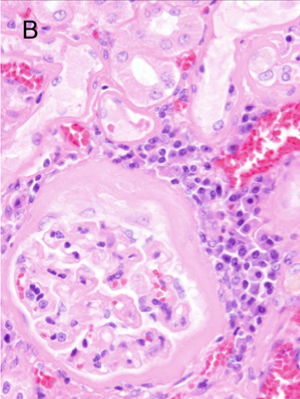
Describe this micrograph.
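A glomerulus in kidney cortex is enclosed by a markedly thickened Bowman's capsule, seen as a broad, homogeneous pale pink band around the tuft. The glomerular tuft holds numerous cells with round to oval nuclei and scattered red blood cells in its capillaries. Beside the glomerulus, the interstitium is filled by a dense infiltrate of small round cells with dark nuclei and scant cytoplasm. Tubules with pink cytoplasm and vessels packed with red blood cells surround this area.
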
